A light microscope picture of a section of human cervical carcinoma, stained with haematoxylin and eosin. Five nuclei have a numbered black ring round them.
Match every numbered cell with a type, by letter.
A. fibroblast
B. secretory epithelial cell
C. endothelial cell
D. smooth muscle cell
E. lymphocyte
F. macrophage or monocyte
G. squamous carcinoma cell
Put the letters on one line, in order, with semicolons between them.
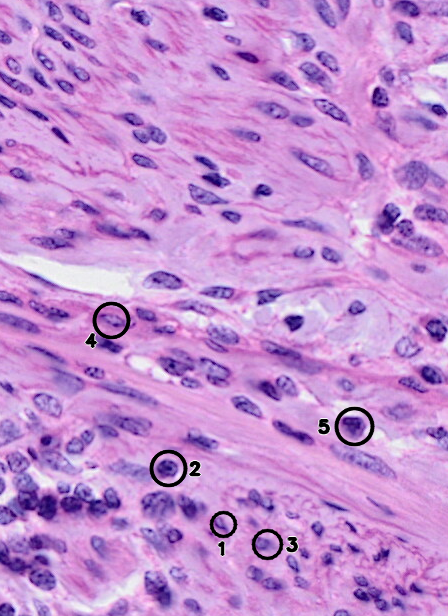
D; E; D; C; E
